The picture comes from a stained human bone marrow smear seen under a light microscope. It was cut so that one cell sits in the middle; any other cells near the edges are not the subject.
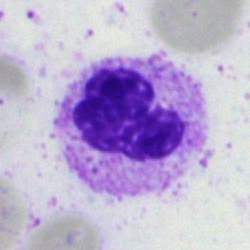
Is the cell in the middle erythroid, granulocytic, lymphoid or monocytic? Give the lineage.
granulocytic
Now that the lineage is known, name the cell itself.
segmented neutrophil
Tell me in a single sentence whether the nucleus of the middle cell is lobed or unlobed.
Look at the nucleus and you will find it divided into two or more lobes.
